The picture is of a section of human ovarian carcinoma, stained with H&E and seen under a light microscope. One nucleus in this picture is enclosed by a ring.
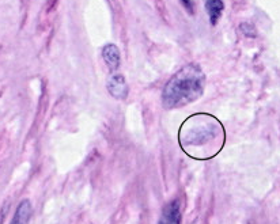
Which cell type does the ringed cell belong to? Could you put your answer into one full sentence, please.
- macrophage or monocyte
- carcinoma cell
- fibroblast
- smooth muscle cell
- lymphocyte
Labelled by cell type, the ringed cell is a fibroblast.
